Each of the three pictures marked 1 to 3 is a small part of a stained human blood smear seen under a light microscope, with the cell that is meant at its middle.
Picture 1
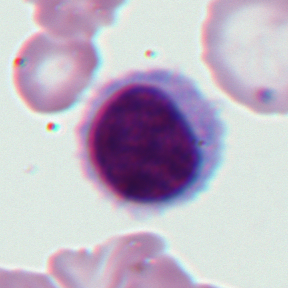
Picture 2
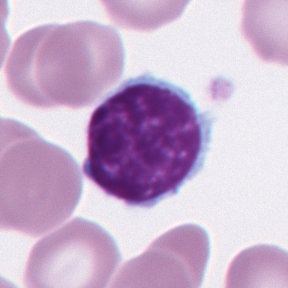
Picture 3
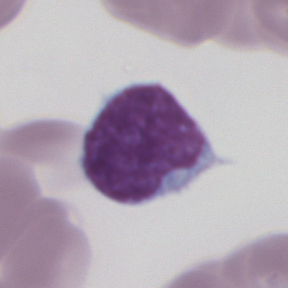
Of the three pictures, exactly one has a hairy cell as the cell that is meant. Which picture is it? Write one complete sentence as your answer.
The picture with the hairy cell is 1.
